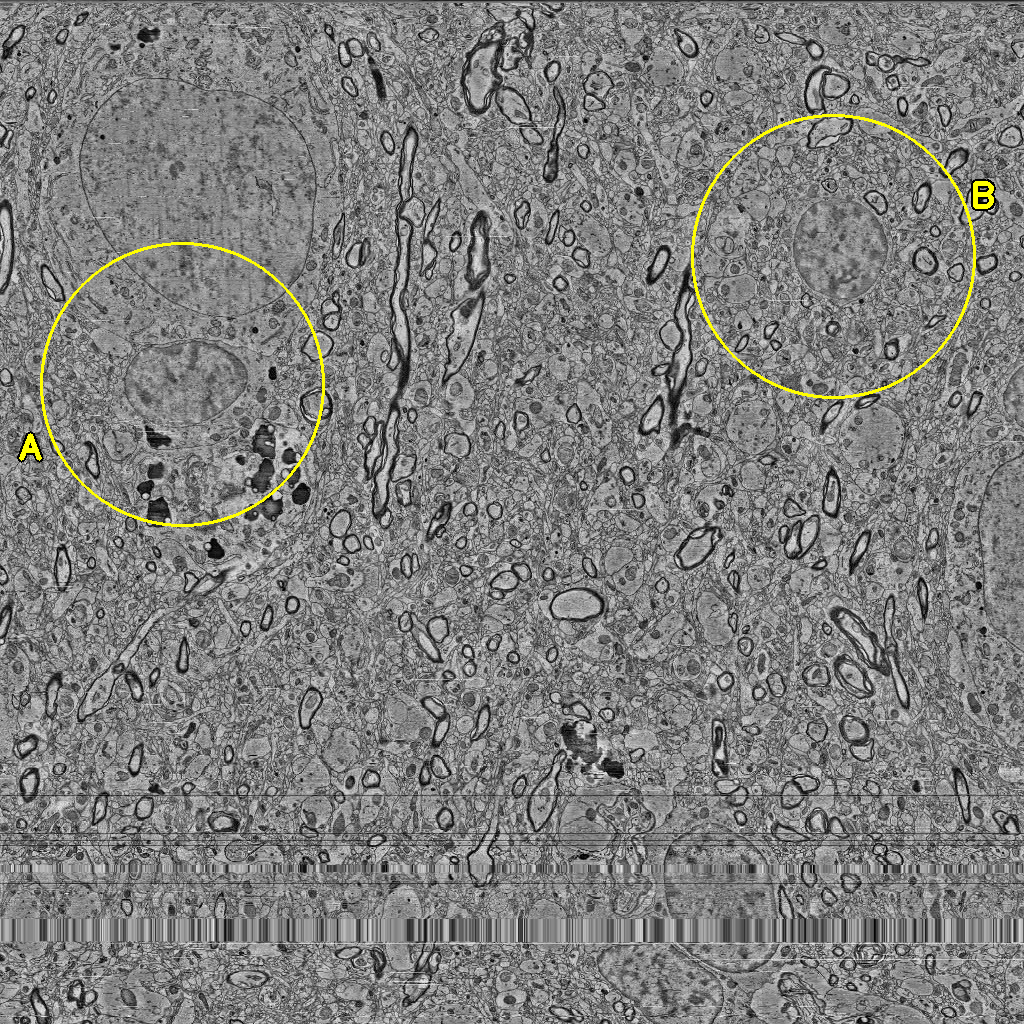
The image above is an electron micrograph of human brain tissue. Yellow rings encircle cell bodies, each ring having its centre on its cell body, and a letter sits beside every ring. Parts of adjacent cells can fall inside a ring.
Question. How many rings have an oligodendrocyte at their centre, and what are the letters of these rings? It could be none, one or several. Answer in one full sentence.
The letters A and B sit beside two rings, each of which is centred on an oligodendrocyte.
